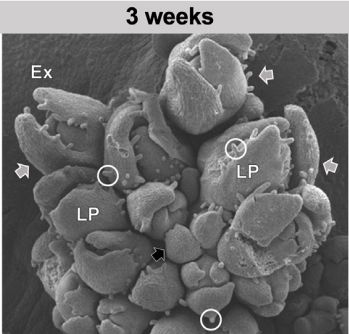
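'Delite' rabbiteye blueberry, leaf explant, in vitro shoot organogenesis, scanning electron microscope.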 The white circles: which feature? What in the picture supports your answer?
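Small thin hair-like projections stand out from the surfaces of the leaf-like organs. The answer: trichomes.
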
